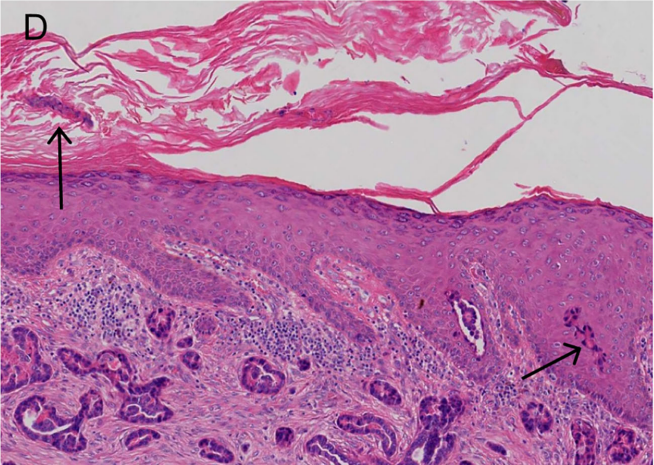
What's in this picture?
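A thickened squamous epidermis with a layered keratin surface lies above a dermis filled with small ductal nests. The dermal nests are made of small cells with dark round nuclei arranged around small lumina, and a band of small dark inflammatory cells lies just under the epidermis. Within the epidermis itself, small clusters of similar dark-nucleated cells sit among the paler squamous cells, and another cluster lies within the surface keratin. These intraepidermal clusters look like tumor cells that have nested in the epidermis.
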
